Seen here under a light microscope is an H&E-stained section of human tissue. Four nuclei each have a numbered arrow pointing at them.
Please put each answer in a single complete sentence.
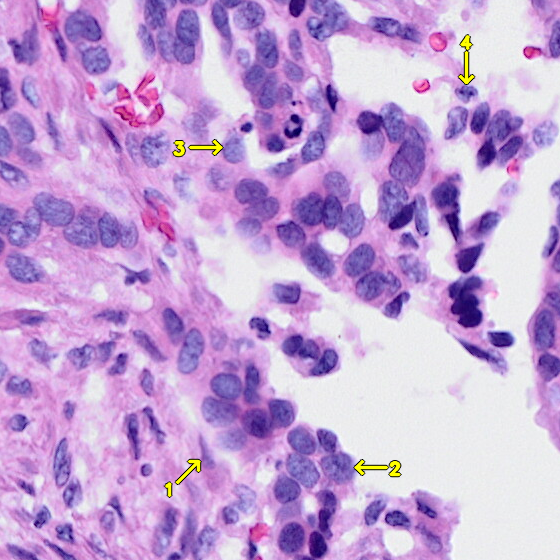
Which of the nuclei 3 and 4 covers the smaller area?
Number 4 is smaller, since number 3 takes up about 2 times as much area.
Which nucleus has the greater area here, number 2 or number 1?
Nucleus 2 covers more area, about 2 times as much as nucleus 1.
